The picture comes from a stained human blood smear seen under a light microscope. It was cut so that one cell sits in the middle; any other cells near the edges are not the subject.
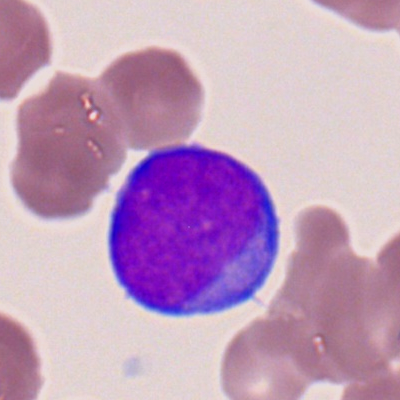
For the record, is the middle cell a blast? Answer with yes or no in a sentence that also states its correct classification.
Yes, the central cell here is a blast.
